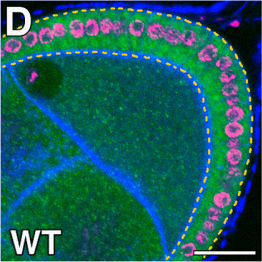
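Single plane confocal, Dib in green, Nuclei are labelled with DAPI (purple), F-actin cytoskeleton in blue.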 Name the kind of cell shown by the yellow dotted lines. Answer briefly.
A: Follicle cells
